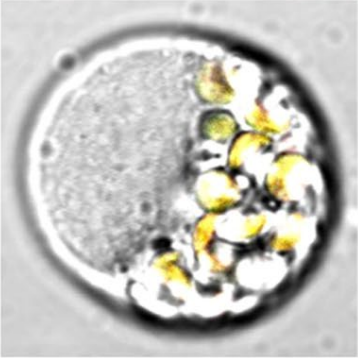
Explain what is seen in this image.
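A single isolated leaf mesophyll protoplast, a round cell stripped of its wall, with its chloroplasts crowded to one side. The cell is spherical with a smooth, dark rim. About half of its interior appears finely granular and without large organelles, while the other half is packed with many lens-shaped to crescent-shaped chloroplasts lying against one another and against the cell margin. No wall or neighbouring cells are present.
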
